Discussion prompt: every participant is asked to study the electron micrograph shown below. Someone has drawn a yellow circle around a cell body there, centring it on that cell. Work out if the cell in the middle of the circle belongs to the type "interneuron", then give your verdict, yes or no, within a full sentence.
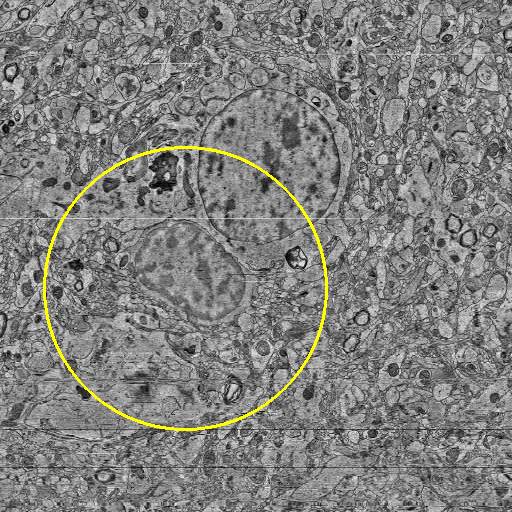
No, my verdict is that the cell in the circle's centre is of a different type.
